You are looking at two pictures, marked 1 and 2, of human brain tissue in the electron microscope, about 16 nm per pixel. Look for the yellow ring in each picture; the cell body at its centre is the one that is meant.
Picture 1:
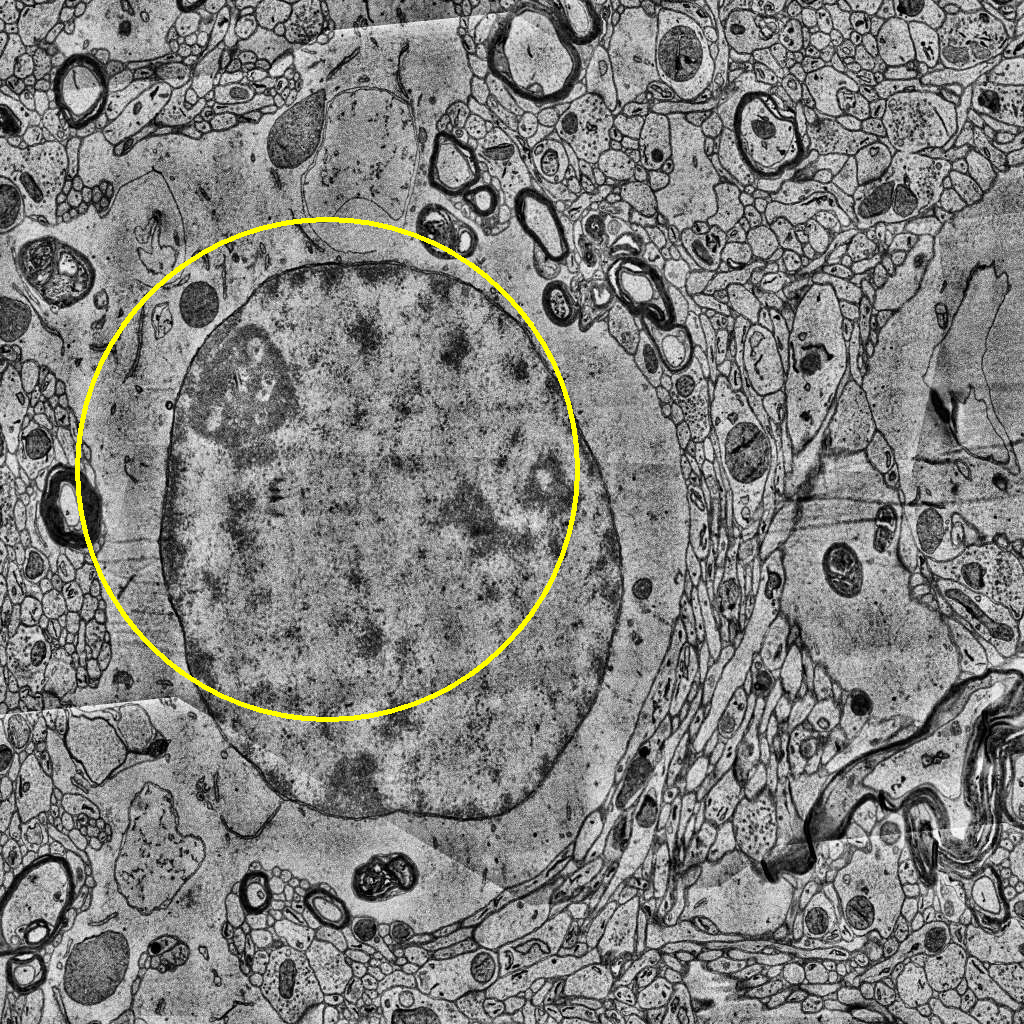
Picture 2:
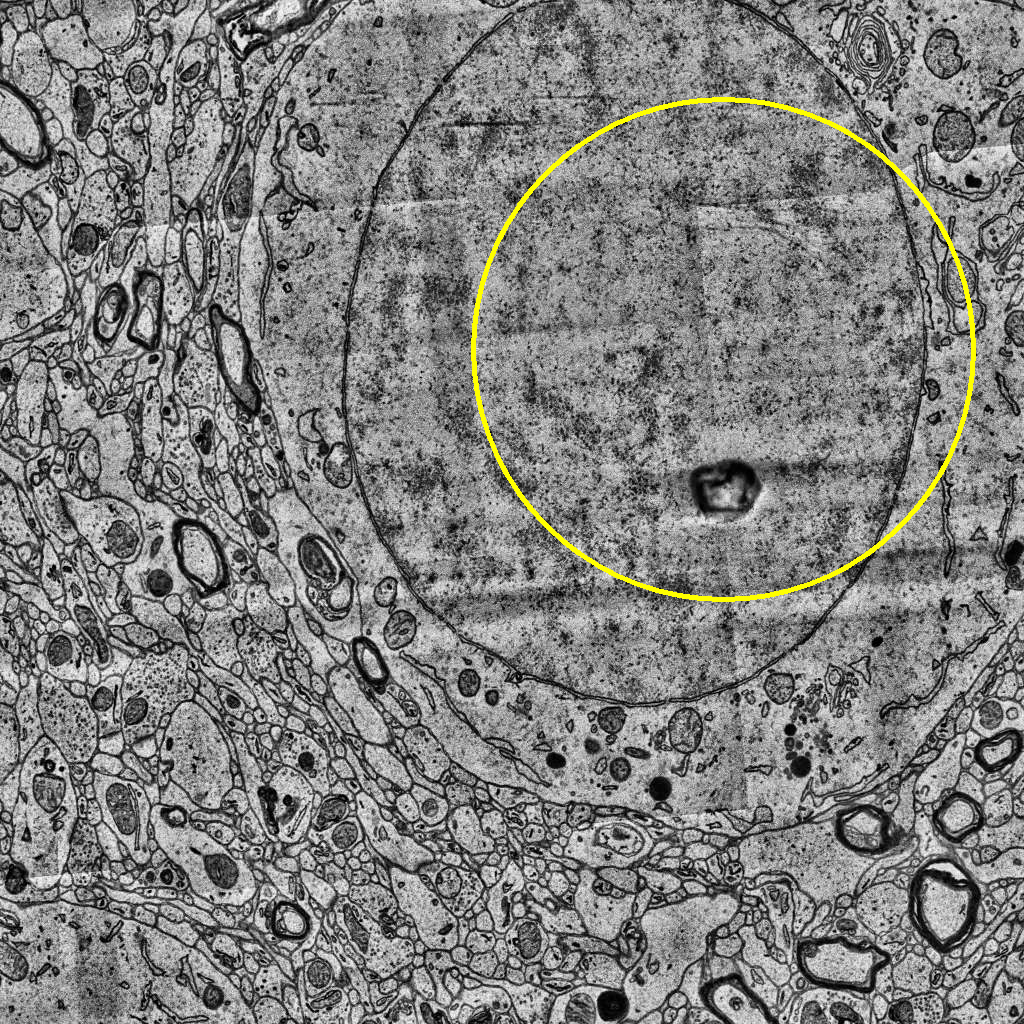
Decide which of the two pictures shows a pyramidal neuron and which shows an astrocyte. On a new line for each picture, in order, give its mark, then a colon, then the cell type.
1: astrocyte
2: pyramidal neuron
